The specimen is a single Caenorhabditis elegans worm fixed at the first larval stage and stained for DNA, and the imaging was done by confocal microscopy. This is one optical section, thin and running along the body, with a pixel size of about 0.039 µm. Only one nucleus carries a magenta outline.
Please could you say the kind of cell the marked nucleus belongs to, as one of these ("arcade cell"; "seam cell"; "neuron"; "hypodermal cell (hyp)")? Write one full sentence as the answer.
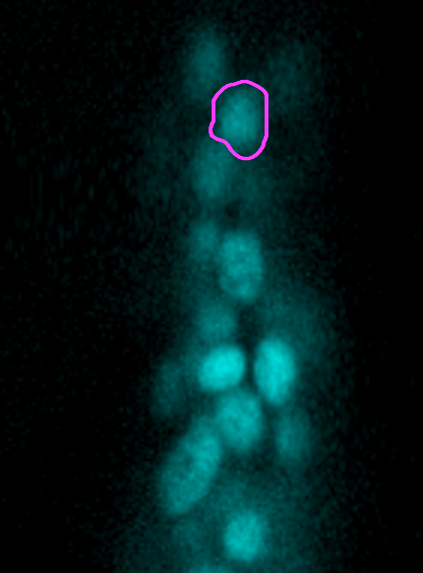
The nucleus comes from an arcade cell.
